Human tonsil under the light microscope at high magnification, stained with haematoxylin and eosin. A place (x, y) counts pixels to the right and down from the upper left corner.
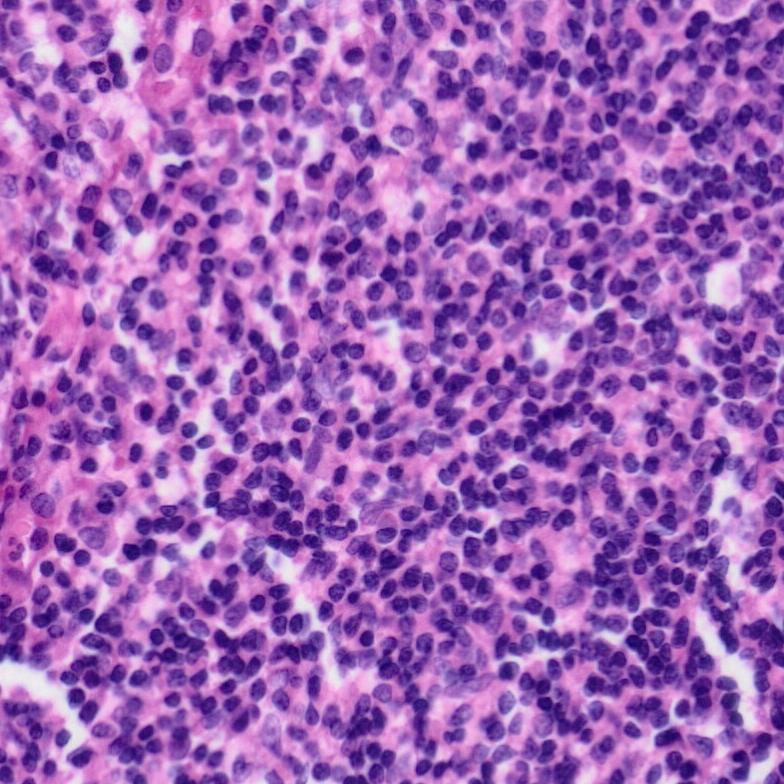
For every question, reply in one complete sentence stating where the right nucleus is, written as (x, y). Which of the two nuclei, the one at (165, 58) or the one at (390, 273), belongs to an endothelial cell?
The pair contains one nucleus of an endothelial cell, namely the one at (165, 58).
